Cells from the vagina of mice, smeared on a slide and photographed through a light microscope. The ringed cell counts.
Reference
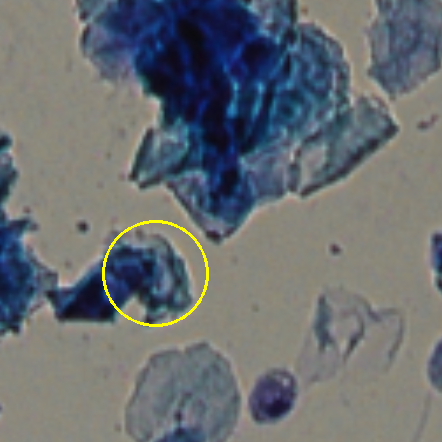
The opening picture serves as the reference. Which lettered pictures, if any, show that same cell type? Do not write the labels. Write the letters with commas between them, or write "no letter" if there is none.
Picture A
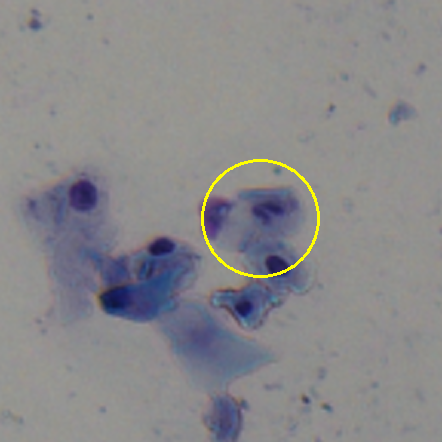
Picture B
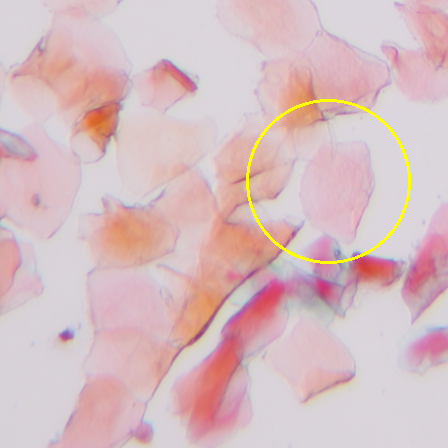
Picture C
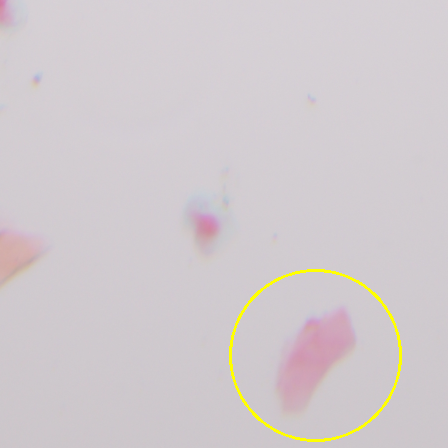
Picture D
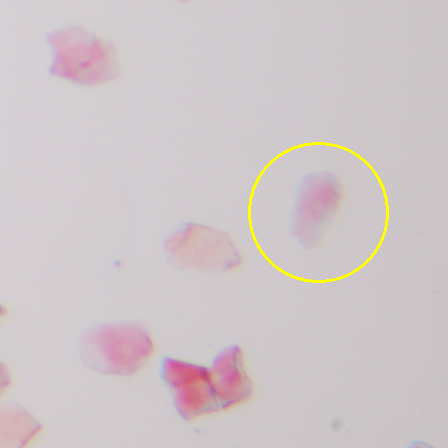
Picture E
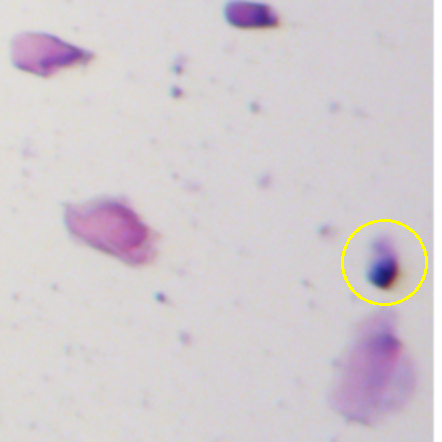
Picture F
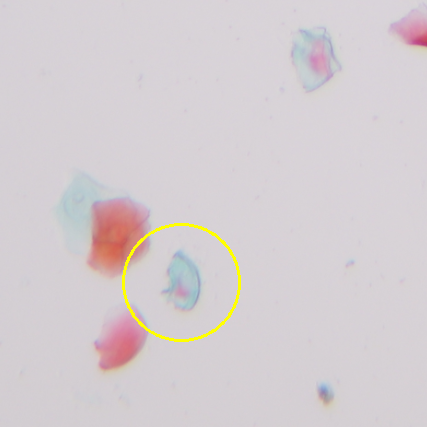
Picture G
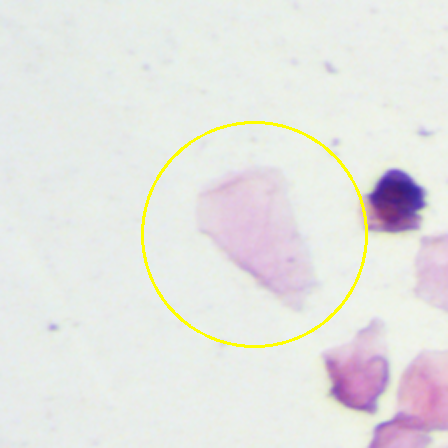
B, C, D, F, G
